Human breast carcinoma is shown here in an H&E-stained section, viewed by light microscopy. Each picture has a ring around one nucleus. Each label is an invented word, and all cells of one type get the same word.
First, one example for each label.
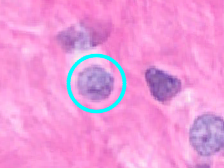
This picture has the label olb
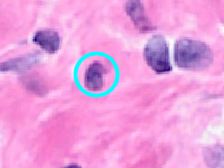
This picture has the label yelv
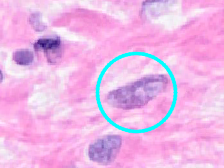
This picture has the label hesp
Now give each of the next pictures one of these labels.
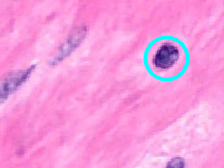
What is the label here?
yelv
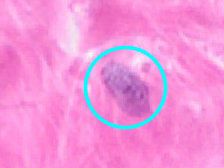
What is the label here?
hesp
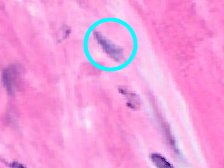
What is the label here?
hesp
